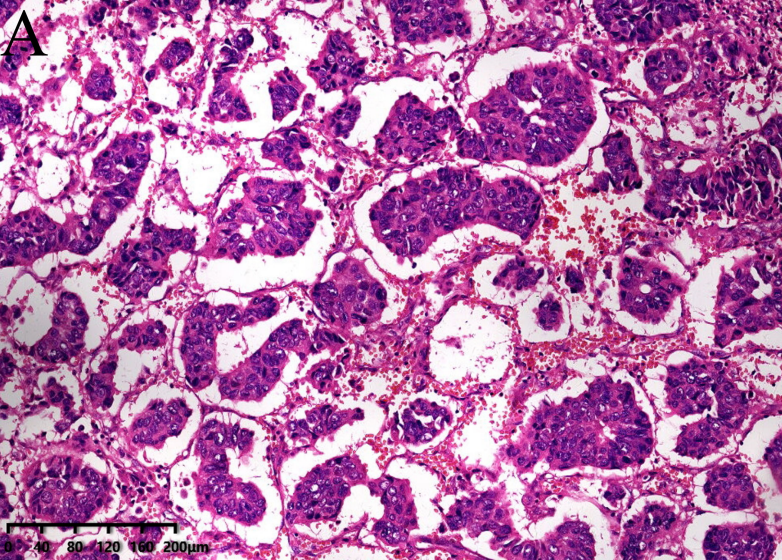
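Here are tumor cells gathered in many small, compact clusters, each lying within its own clear space in a loose pink stroma. The clusters vary in outline, some rounded, some elongated or branching, and none contains a central core of stroma or vessels. The cells have large, dark purple nuclei and moderate pink cytoplasm, crowded together, with a few small gaps within some clusters. Between each cluster and the stroma runs a narrow, irregular clear space, and red blood cells are scattered in the stroma. This is the pseudopapillary arrangement of tumor cell clusters floating in clear spaces.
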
